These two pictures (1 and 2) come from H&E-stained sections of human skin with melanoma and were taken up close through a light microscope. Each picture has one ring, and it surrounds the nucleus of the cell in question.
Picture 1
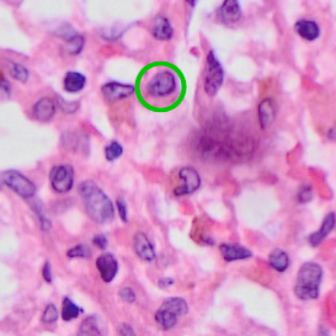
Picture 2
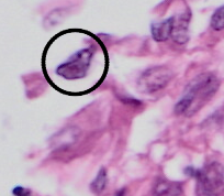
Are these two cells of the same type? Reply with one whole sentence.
No, picture 1 shows a “macrophage or monocyte” and picture 2 shows a melanoma cell.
